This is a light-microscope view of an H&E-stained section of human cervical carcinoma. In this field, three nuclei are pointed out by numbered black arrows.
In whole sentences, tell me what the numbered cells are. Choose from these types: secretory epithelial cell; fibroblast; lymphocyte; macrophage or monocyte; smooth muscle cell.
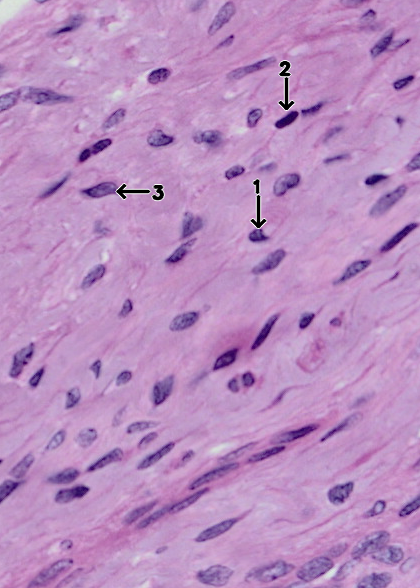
Cell 1 is a fibroblast, cell 2 is a lymphocyte and cell 3 is a fibroblast.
